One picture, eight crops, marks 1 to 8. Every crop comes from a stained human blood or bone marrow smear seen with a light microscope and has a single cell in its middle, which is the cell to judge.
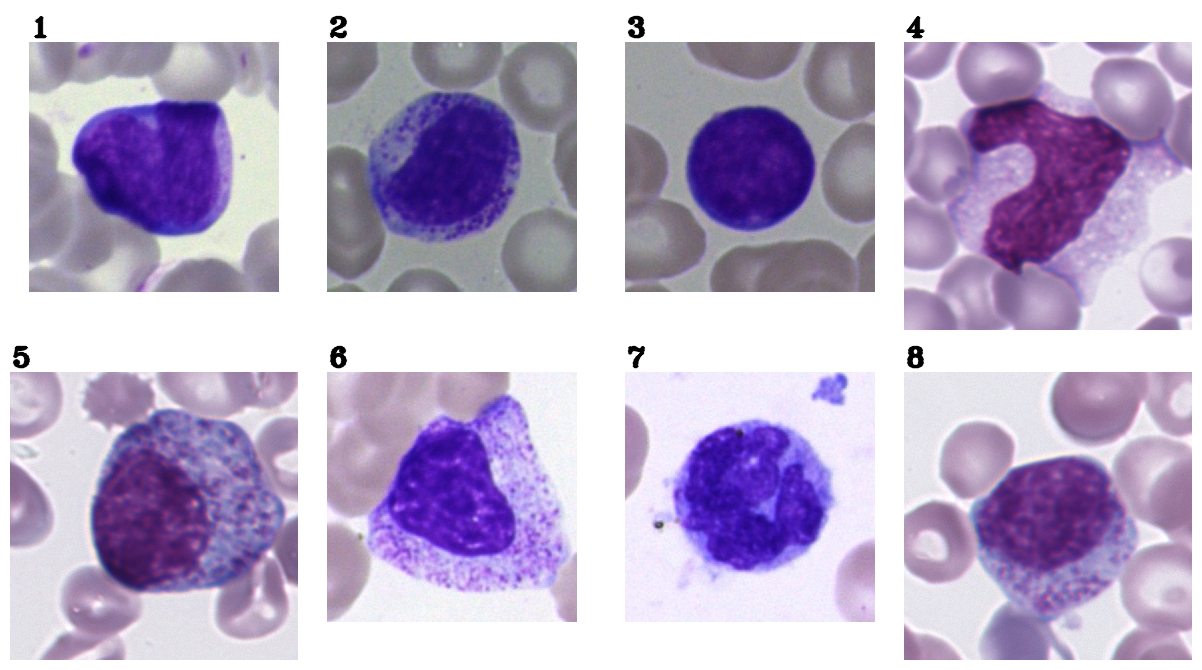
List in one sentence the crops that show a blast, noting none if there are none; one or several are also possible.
In crops 1 and 3, the central cells are blasts.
